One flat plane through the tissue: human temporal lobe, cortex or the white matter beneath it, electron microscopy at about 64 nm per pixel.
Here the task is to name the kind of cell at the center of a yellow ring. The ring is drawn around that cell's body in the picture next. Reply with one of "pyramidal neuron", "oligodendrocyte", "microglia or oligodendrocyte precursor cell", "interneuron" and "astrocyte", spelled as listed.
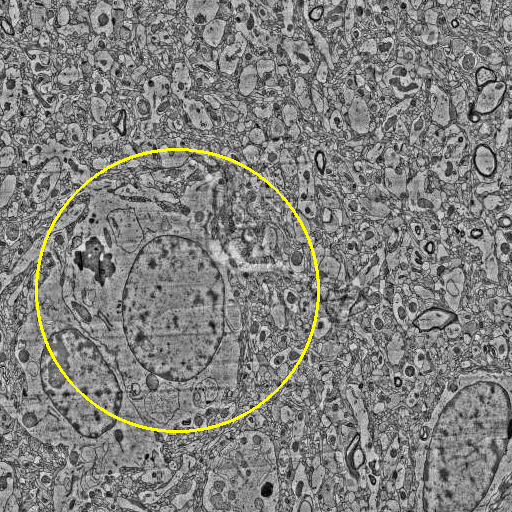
astrocyte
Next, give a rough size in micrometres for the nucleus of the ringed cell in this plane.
Approximately 9 x 7 micrometres in this plane.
